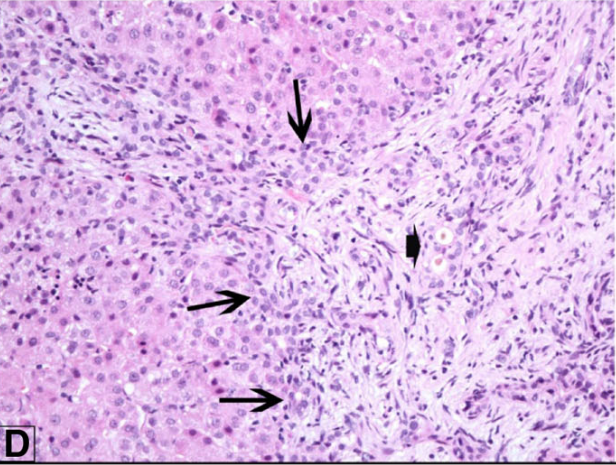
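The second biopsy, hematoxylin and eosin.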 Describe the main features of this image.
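This is liver tissue at high power, where hepatocytes border a broad area of fibrosis containing proliferating bile ductules. The hepatocytes at the upper left have pink cytoplasm and round nuclei and are arranged in plates. To the right, pale pink fibrous stroma with elongated spindle-shaped nuclei replaces the parenchyma. Within and along the edge of this stroma, small cells with dark nuclei form cords and small ductules. One small duct-like lumen in the fibrous area contains rounded material within it.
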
